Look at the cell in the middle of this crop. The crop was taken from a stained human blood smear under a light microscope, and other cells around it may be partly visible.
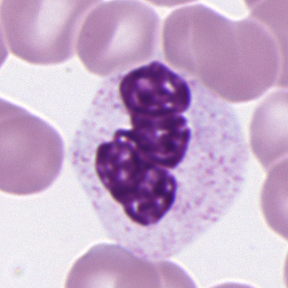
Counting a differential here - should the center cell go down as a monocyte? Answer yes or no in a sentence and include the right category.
No, the label for the central cell is a segmented neutrophil, not a monocyte.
